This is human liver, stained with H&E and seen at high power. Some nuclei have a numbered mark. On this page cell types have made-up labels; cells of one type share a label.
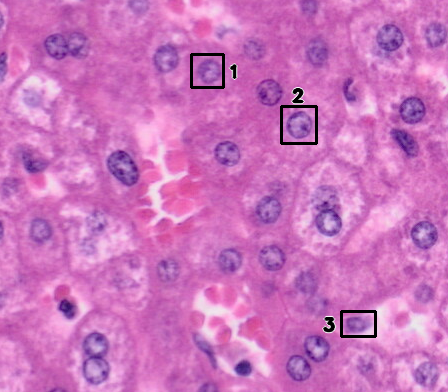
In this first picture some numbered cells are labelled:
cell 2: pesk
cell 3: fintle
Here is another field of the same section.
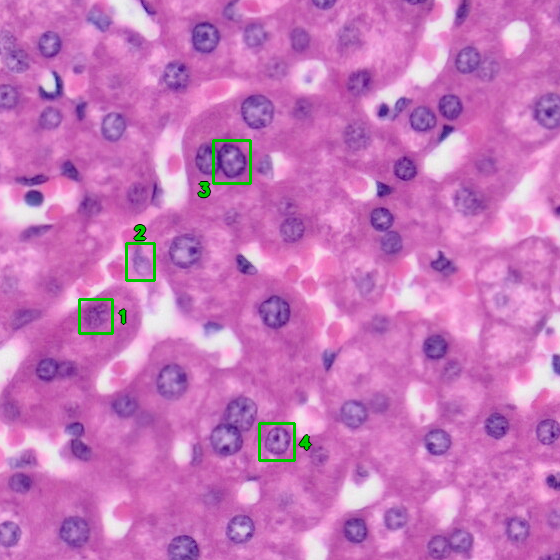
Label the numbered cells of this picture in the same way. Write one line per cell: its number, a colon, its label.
1: pesk
2: fintle
3: pesk
4: pesk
